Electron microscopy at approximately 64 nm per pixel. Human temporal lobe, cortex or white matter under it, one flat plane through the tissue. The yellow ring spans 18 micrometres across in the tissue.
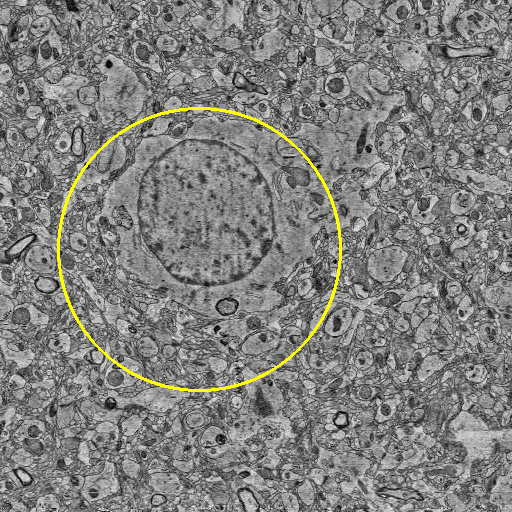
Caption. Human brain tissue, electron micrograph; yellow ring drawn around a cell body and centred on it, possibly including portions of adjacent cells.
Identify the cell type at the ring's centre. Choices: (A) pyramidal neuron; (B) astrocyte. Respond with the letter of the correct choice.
B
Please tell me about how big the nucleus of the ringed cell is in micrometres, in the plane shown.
The nucleus is about 9 micrometres across in this plane.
